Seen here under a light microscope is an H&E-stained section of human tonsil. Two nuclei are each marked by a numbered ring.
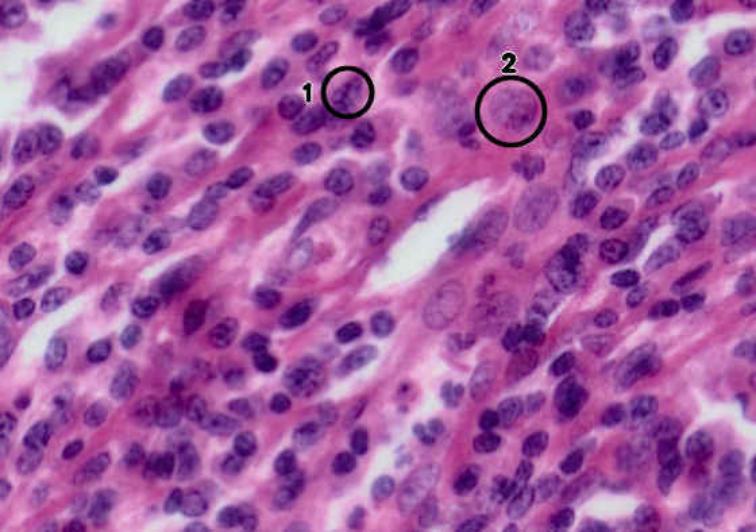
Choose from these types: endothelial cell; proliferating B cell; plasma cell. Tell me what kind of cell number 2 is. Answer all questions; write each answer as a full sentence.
The cell whose nucleus carries the number 2 is an endothelial cell.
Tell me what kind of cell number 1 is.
Number 1 is placed on a plasma cell here.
